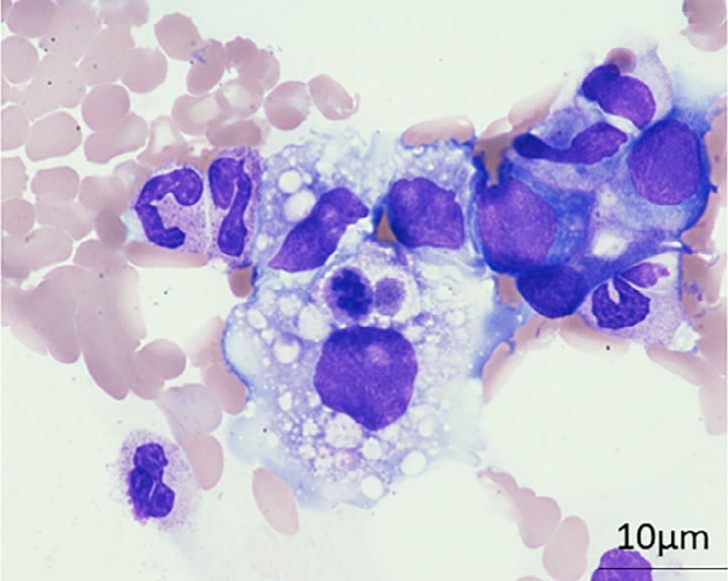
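A bone marrow smear shows a cluster of white blood cells around a large macrophage, with many red blood cells to the left. The macrophage has a large round purple nucleus and wide, pale, foamy cytoplasm full of clear vacuoles; within the cytoplasm above the nucleus lies an engulfed small cell with a dark, lobed nucleus. Around it are several cells with curved or segmented nuclei and pinkish granular cytoplasm, like neutrophils, and cells with round to oval nuclei and deep blue cytoplasm at the upper right. A separate white blood cell with a lobed nucleus lies at the lower left.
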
